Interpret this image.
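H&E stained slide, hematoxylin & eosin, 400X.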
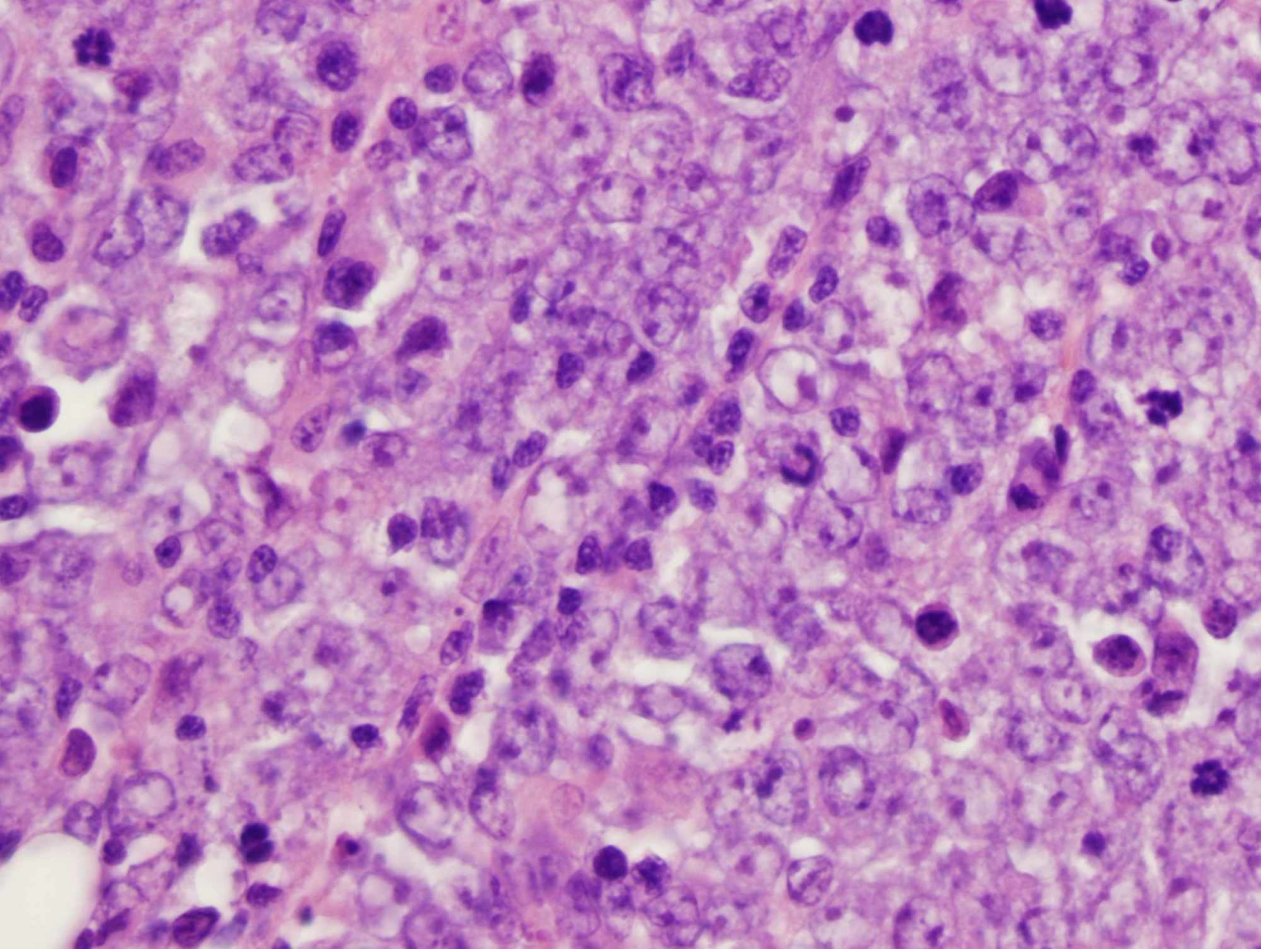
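Sheets of large malignant cells grow diffusely across the field, with no glandular or organised architecture and only scant delicate stroma. The tumour cells have moderate amounts of pale pink to finely vacuolated cytoplasm and ill-defined borders. Their nuclei are large, round to oval and vesicular, with pale open chromatin, crisp nuclear membranes and prominent dark nucleoli. Nuclear size varies, and a few cells have dense, darker, irregular nuclei. Small cells with compact, dark, round nuclei and little cytoplasm lie scattered between the tumour cells. These are consistent with lymphocytes. Small clear spaces and clefts separate the cells in places.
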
